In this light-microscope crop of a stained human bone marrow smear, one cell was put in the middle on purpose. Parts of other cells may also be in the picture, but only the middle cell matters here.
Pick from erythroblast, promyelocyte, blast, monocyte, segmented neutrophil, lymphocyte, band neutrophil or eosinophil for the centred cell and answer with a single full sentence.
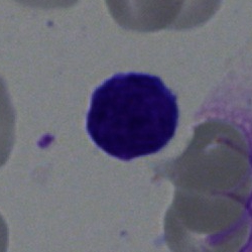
At the middle of the frame sits a lymphocyte.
